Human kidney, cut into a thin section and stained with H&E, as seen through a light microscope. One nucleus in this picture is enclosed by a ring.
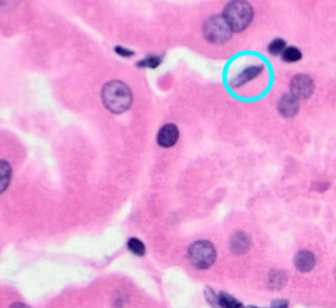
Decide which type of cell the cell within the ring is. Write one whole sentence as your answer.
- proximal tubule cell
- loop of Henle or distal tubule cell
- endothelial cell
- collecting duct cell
To be brief about it, the cell within the ring is an endothelial cell.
